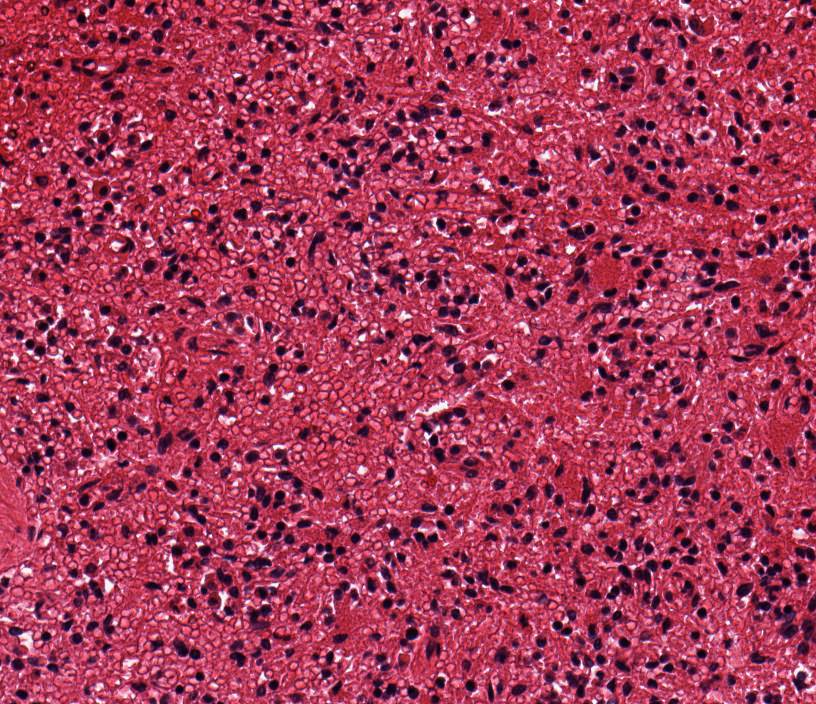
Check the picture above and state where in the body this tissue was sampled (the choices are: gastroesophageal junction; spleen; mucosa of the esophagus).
spleen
